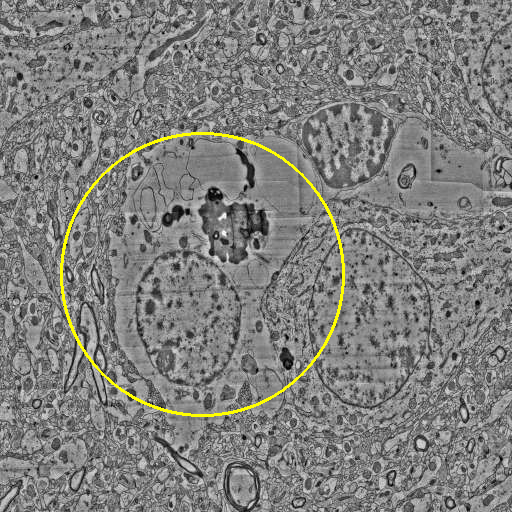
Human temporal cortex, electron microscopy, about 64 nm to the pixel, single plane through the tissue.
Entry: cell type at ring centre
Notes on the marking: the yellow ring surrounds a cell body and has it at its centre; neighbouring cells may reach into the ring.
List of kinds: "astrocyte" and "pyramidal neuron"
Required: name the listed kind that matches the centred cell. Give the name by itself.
astrocyte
